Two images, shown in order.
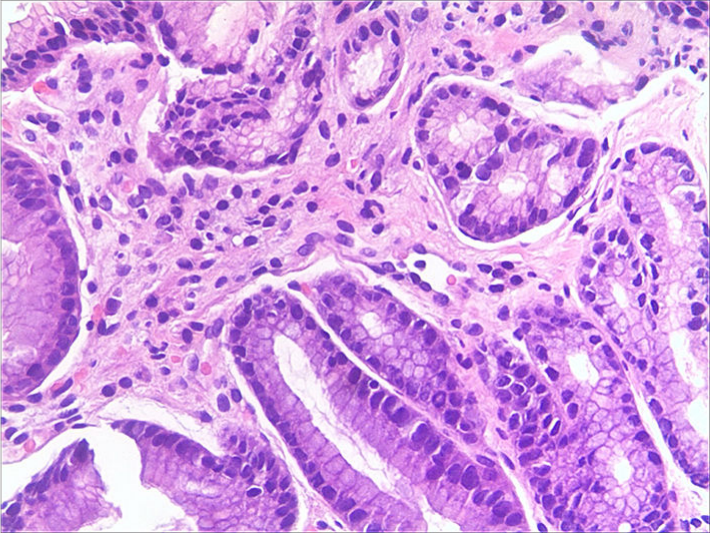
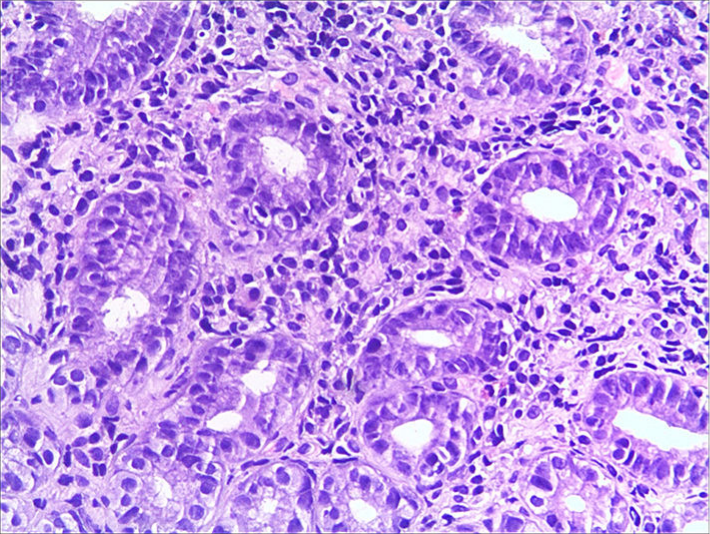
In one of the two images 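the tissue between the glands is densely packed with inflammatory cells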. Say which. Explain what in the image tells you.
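First image: the pink stroma between the glands holds only scattered cells. Second image: the stroma between the glands is crowded with small round dark nuclei.
Conclusion: the second image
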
